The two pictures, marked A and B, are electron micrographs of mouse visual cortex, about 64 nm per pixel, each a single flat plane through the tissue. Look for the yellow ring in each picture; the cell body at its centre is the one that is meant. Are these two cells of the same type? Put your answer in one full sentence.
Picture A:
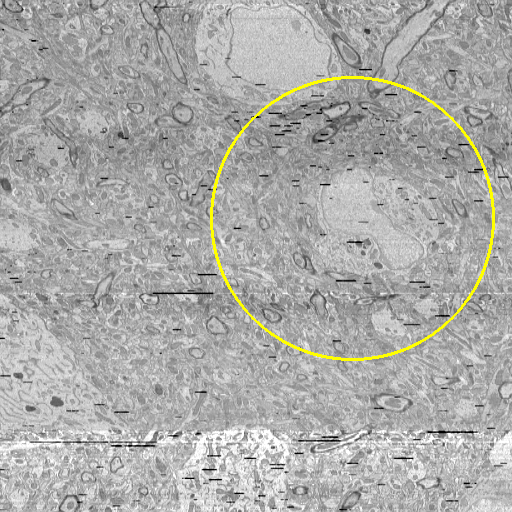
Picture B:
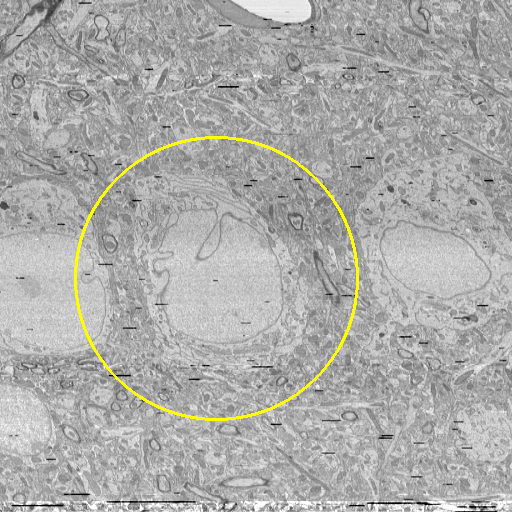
No; the cell in picture A is an oligodendrocyte precursor cell, while the one in picture B is an inhibitory neuron.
